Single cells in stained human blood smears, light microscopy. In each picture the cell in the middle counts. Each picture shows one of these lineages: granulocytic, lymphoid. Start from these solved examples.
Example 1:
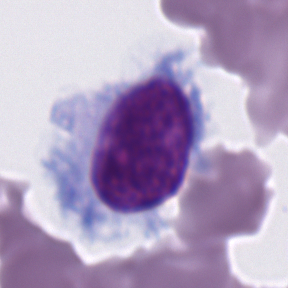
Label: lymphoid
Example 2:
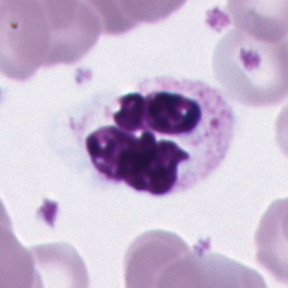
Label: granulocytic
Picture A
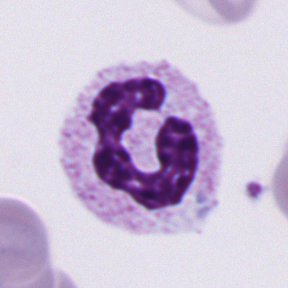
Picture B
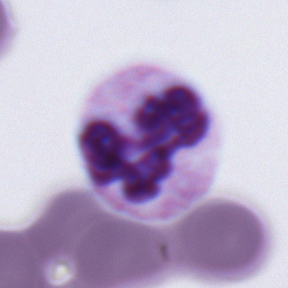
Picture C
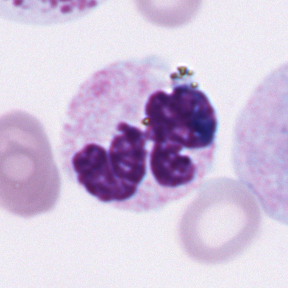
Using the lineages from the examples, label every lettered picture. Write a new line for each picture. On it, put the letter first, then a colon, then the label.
A: granulocytic
B: granulocytic
C: granulocytic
